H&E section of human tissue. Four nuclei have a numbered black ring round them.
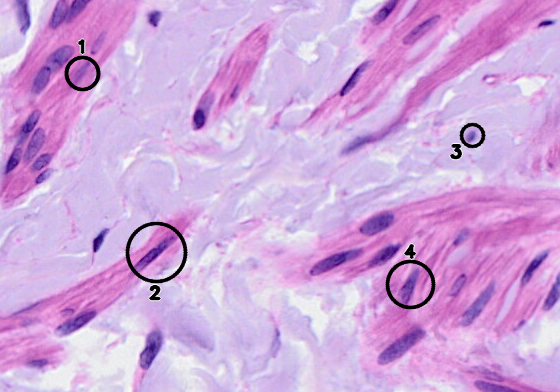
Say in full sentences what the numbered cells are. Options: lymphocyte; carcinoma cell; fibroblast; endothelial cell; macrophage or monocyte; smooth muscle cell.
Cells 1, 2 and 4 are smooth muscle cells. Cell 3 is a lymphocyte.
